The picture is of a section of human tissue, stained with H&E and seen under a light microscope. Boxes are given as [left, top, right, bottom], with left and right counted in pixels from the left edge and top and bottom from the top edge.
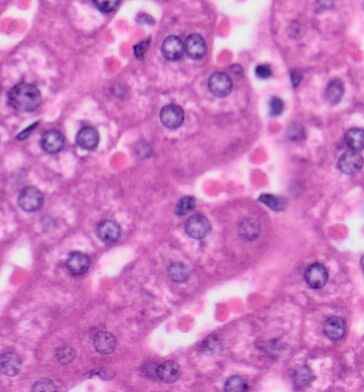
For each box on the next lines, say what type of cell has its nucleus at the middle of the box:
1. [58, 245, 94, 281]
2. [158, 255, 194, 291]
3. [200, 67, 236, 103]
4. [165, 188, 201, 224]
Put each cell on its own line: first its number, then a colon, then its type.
1: hepatocyte
2: hepatocyte
3: hepatocyte
4: fibroblast or stellate cell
